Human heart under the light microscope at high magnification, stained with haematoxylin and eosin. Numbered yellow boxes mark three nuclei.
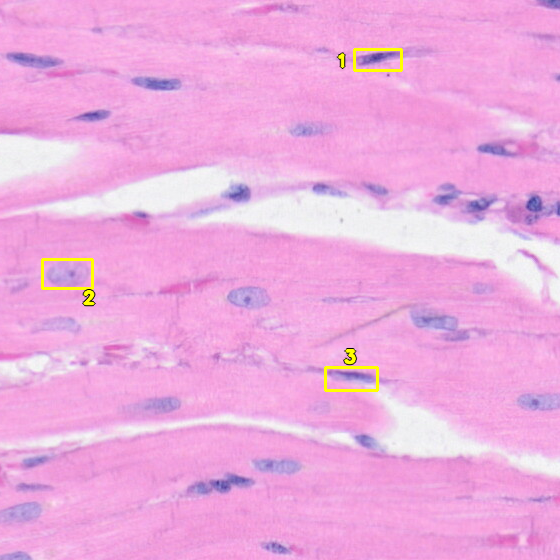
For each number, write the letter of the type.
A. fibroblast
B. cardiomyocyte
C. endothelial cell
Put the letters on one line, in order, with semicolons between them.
C; B; C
